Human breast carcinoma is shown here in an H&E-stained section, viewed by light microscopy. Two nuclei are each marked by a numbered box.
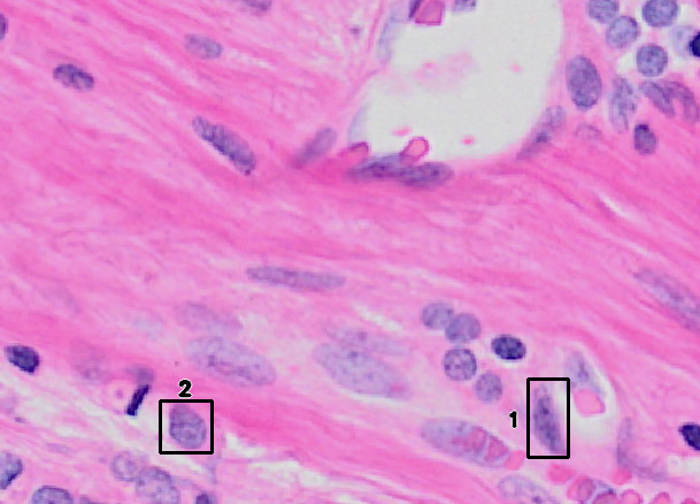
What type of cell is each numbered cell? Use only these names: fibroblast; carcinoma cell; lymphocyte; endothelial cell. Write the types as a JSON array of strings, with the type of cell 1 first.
["endothelial cell", "carcinoma cell"]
